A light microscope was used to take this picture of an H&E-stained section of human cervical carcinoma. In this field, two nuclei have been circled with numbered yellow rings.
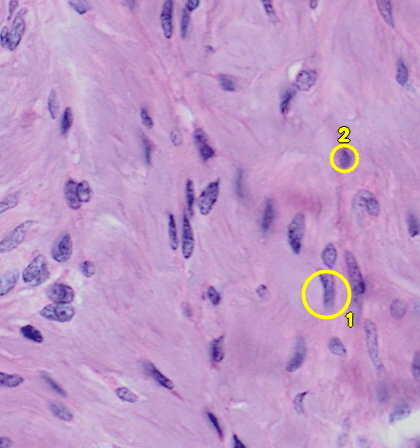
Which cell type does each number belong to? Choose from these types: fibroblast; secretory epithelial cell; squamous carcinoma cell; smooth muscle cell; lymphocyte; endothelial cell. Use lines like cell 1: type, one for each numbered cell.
cell 1: fibroblast
cell 2: smooth muscle cell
